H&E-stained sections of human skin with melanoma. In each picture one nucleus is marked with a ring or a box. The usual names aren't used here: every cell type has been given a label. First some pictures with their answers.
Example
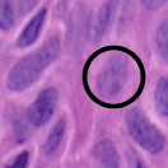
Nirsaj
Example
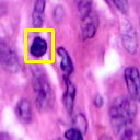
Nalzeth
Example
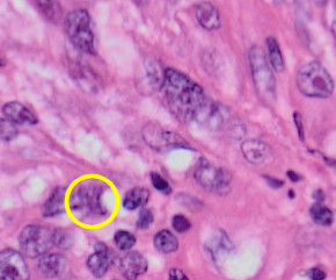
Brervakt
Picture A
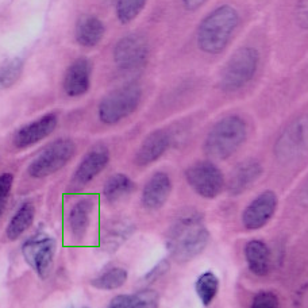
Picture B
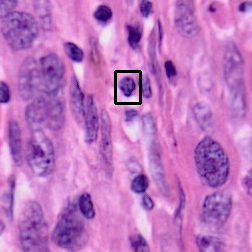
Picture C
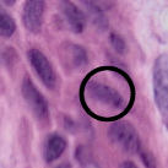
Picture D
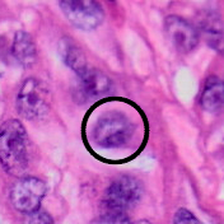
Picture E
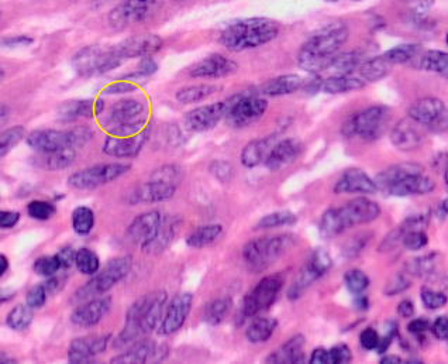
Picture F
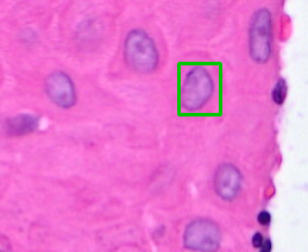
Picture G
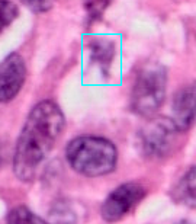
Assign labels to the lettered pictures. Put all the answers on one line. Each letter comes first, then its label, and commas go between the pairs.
A Nirsaj, B Nalzeth, C Nirsaj, D Brervakt, E Brervakt, F Nirsaj, G Brervakt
